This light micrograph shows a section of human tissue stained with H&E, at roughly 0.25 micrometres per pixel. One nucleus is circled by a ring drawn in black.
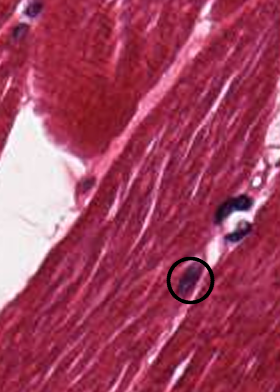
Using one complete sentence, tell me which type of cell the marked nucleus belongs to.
The marked nucleus is that of a skeletal muscle fibre.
